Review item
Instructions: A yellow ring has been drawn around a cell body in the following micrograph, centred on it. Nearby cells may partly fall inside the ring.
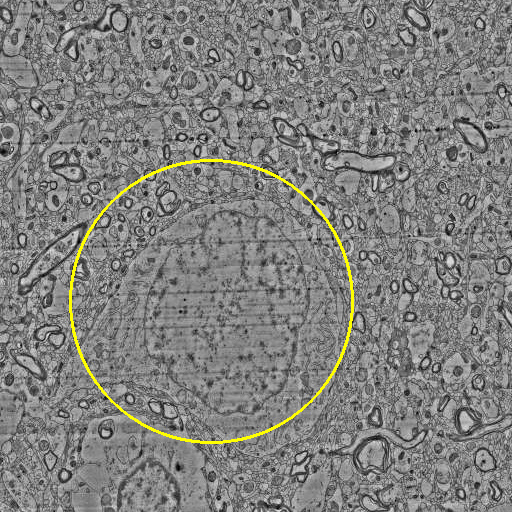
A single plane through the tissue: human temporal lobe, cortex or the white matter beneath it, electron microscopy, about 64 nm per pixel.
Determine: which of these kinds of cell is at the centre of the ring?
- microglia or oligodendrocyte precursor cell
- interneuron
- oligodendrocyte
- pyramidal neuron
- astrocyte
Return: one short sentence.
The cell body in the middle of the ring is that of an interneuron.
